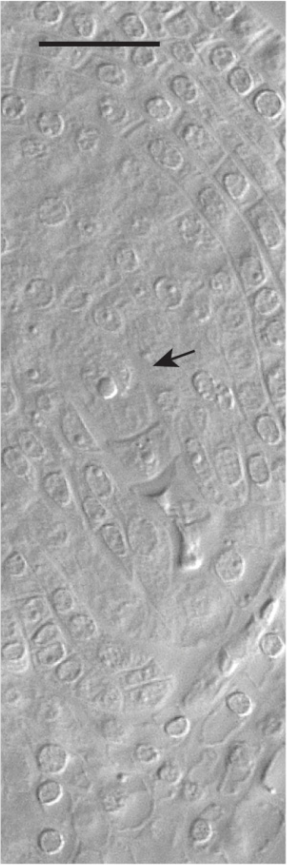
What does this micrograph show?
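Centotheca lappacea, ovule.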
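The nucellus is built of files of small, rather uniform cells, each with a round nucleus and often a visible nucleolus. In the middle lies a single enlarged cell with a distinct nucleus, the surviving functional megaspore. Next to it, toward one end, lie collapsed, refractile, wedge-shaped remnants of the aborted meiotic products, which appear as a sharp dark-edged streak.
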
